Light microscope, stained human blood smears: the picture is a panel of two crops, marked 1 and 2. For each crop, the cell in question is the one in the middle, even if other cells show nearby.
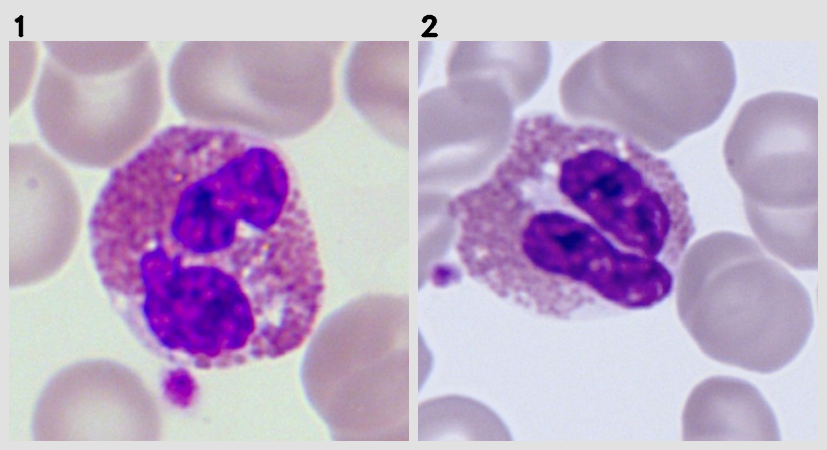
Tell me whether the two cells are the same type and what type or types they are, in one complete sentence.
Yes, eosinophils are seen in both crops.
